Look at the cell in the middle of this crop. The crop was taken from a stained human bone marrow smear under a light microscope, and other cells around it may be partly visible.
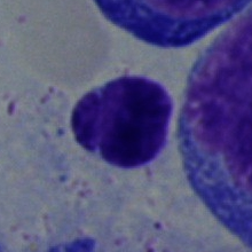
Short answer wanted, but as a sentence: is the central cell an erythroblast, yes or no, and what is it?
No, the cell found centrally in the crop is a lymphocyte, not an erythroblast.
